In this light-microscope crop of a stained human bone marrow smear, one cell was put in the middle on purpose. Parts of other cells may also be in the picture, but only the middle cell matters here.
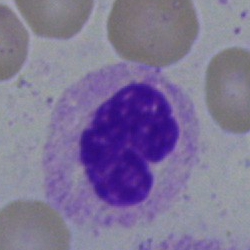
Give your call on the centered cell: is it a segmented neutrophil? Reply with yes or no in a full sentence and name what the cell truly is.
No, the cell at the centre is identified as a band neutrophil, not as a segmented neutrophil.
